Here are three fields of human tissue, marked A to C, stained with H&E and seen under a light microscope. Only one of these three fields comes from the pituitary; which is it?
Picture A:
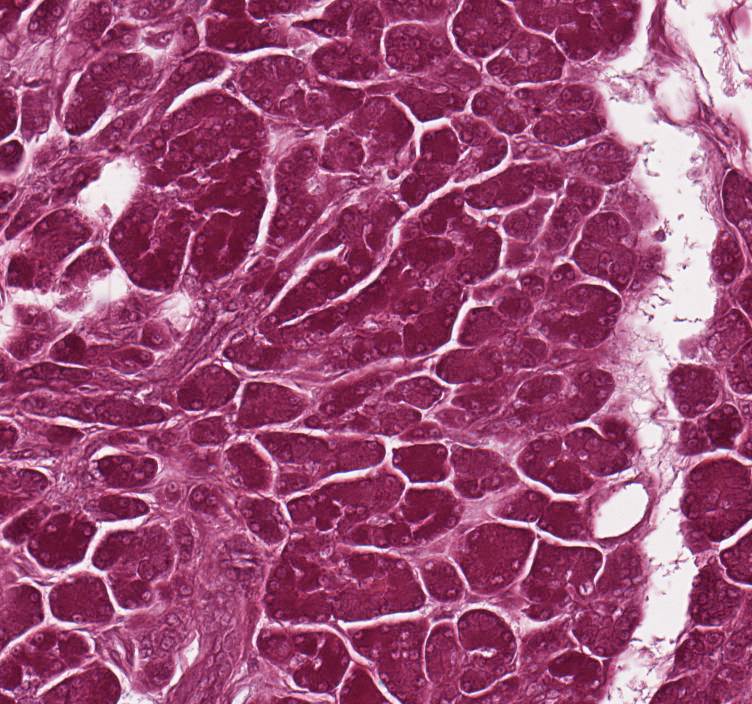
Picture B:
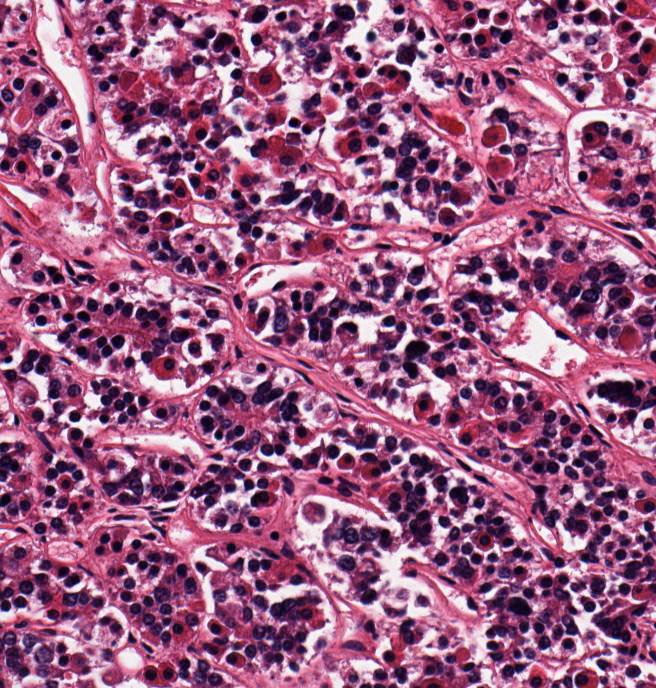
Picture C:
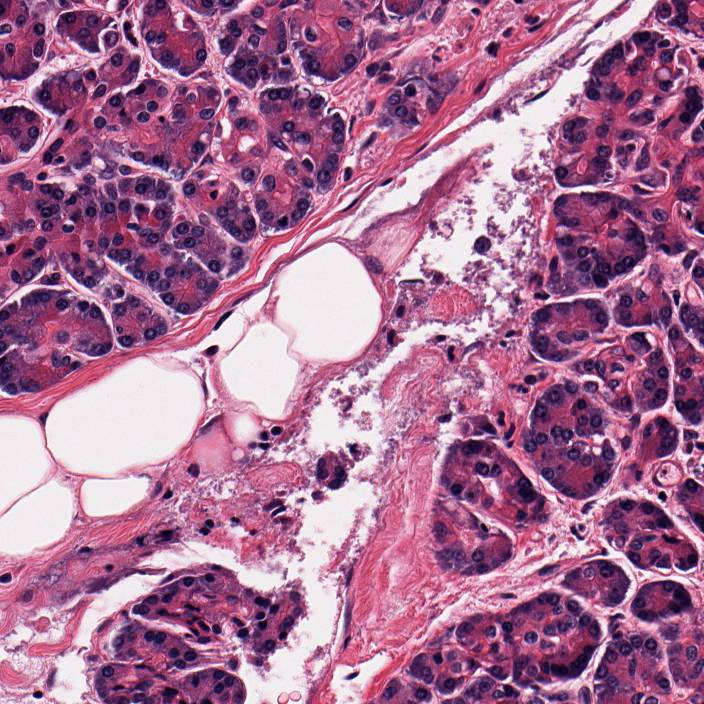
B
